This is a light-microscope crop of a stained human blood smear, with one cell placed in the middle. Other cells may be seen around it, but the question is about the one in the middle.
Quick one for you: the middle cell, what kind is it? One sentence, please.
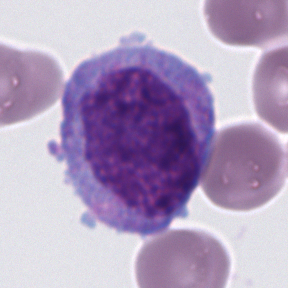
The centrally placed cell is classified as an atypical promyelocyte.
